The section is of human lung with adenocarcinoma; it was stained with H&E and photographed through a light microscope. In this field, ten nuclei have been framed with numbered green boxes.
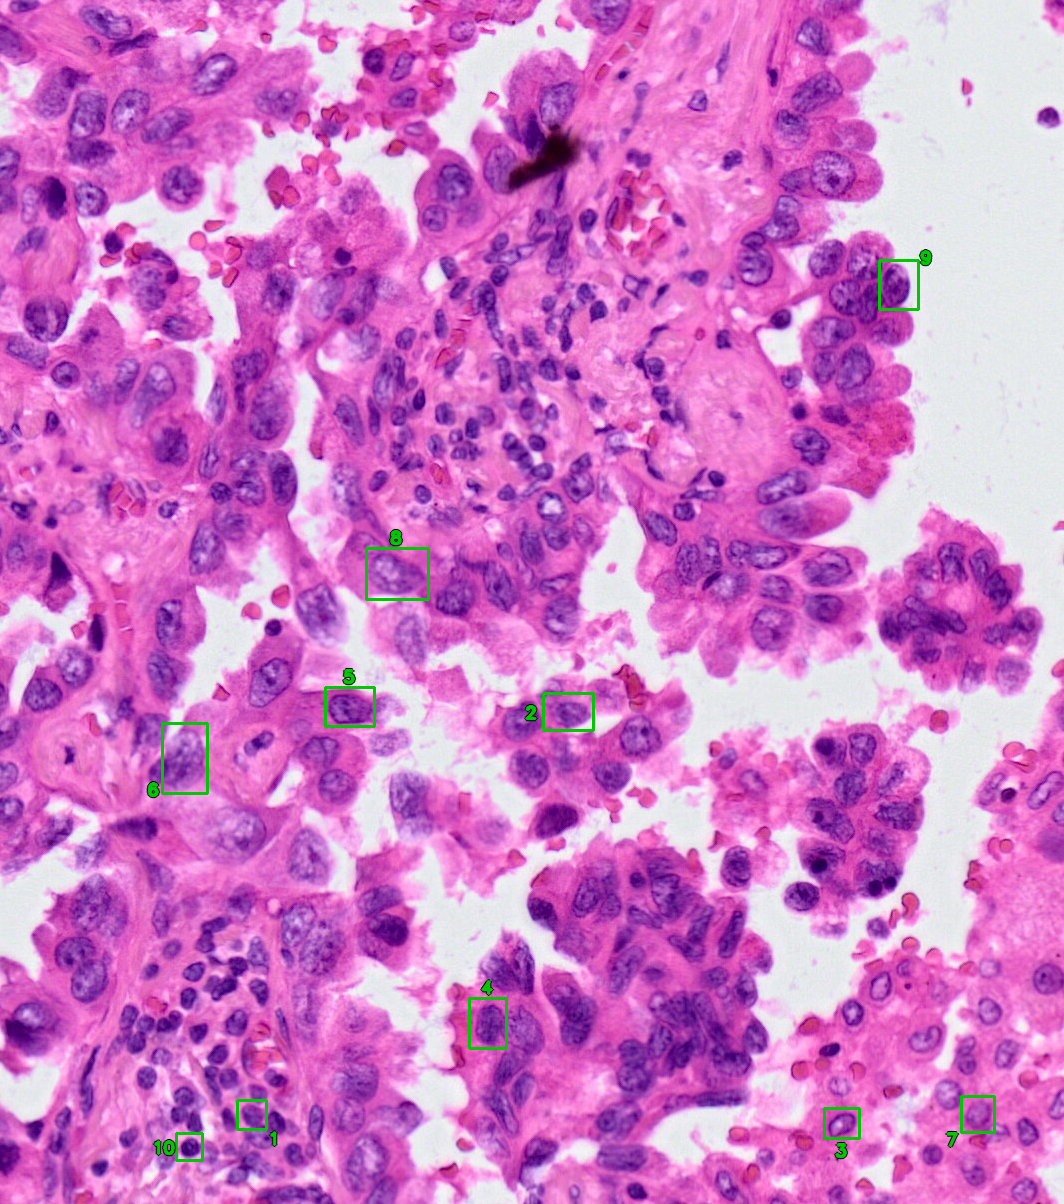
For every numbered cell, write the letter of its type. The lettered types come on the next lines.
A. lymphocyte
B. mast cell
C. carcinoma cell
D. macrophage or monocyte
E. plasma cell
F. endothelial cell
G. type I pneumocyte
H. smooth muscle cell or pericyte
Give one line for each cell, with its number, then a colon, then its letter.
1: A
2: C
3: D
4: C
5: C
6: C
7: D
8: C
9: C
10: A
